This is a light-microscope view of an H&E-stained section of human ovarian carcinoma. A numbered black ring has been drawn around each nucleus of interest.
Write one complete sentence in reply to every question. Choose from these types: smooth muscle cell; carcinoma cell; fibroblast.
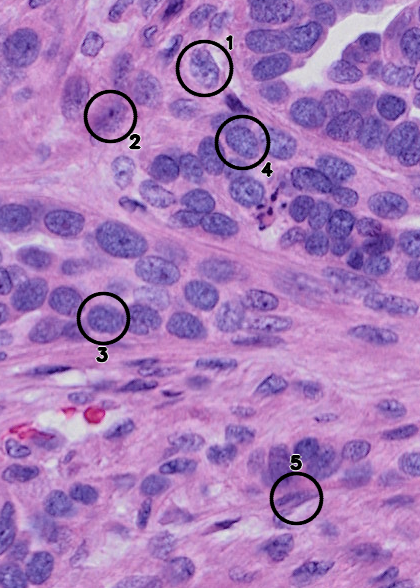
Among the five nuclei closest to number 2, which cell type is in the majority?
Of the five nuclei nearest to number 2, most belong to fibroblasts.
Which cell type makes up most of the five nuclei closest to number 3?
Of the five nuclei nearest to number 3, most belong to carcinoma cells.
